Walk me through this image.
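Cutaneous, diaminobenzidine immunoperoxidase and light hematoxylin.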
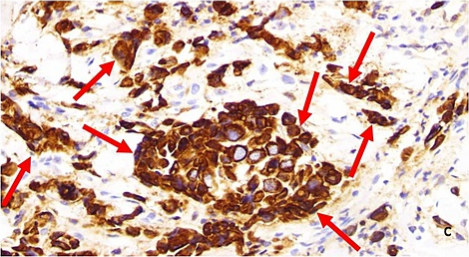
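The largest group forms a rounded nest in the centre, and smaller groups and strands spread out around it. Between the groups, spindle-shaped stromal cells with small blue nuclei remain unstained.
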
